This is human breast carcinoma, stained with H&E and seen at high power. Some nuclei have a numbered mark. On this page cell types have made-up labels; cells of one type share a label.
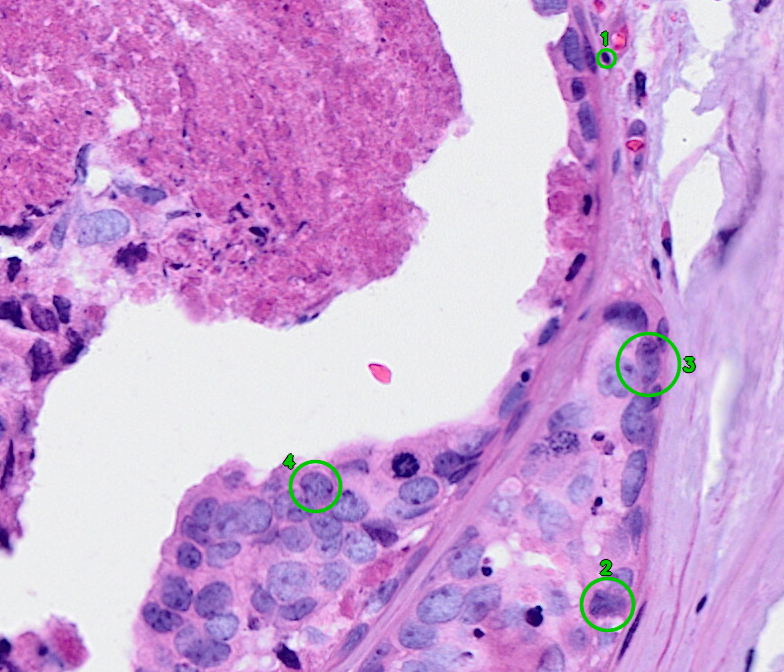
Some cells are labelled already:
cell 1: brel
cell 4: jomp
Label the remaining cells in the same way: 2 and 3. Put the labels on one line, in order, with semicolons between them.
jomp; jomp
